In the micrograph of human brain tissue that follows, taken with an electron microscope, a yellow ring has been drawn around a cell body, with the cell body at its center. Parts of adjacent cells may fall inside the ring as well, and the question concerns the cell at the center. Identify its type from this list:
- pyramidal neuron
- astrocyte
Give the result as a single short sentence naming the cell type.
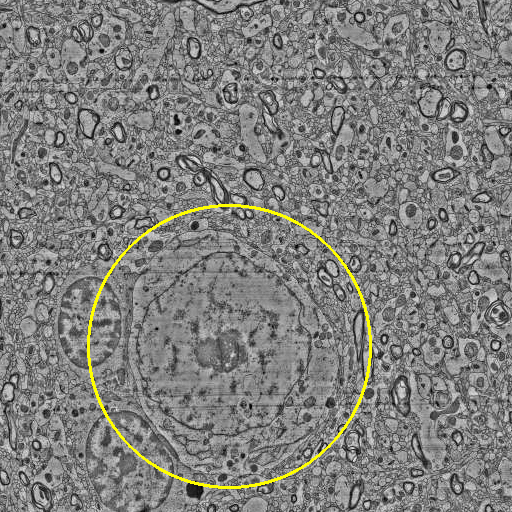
The ring is centered on a pyramidal neuron.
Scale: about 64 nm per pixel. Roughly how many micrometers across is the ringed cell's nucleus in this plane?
In this plane the ringed cell's nucleus is roughly 11 micrometres across.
